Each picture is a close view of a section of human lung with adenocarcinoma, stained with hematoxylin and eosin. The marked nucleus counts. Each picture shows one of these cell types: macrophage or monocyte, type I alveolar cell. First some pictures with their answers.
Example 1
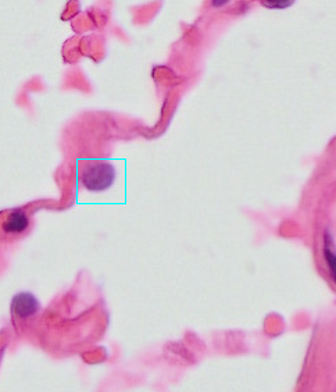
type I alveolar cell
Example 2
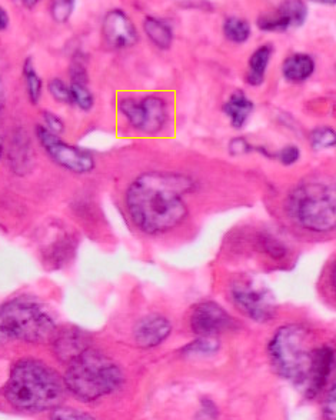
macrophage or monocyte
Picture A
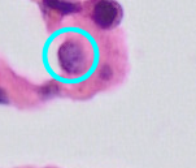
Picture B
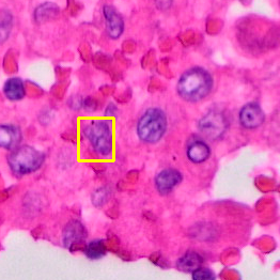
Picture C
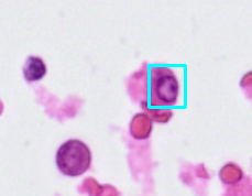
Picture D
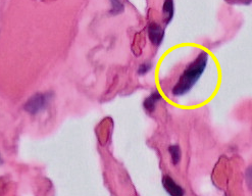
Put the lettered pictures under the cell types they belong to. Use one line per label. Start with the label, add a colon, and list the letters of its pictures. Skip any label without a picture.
macrophage or monocyte: B, C
type I alveolar cell: A, D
